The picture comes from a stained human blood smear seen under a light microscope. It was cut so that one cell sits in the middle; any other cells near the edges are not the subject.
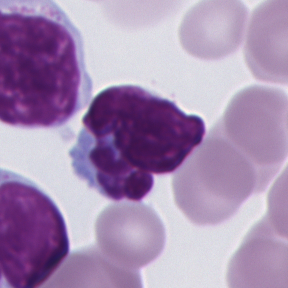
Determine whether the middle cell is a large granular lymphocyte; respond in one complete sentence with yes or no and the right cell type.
Yes, the cell at the midpoint of the crop is a large granular lymphocyte.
